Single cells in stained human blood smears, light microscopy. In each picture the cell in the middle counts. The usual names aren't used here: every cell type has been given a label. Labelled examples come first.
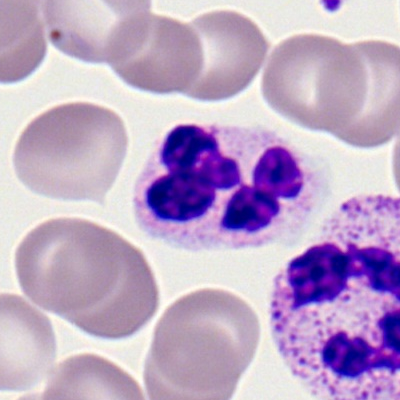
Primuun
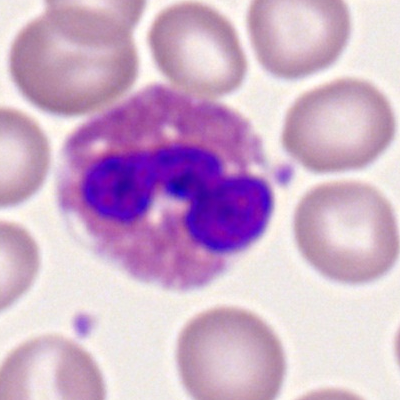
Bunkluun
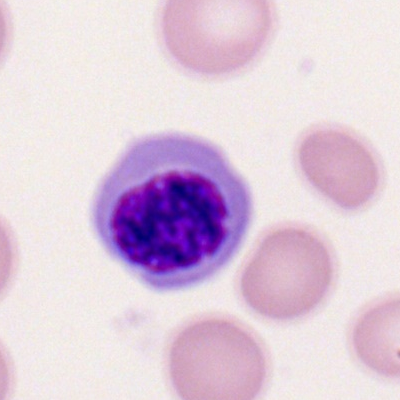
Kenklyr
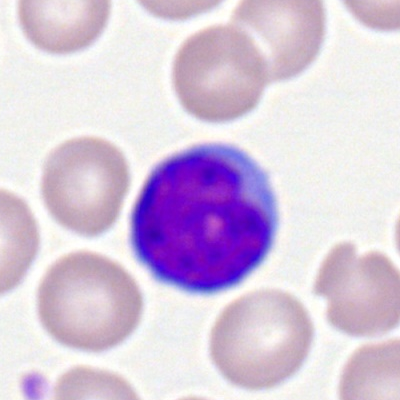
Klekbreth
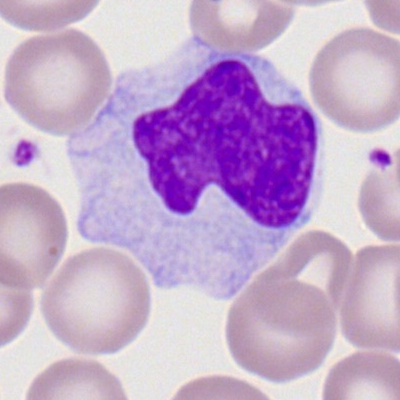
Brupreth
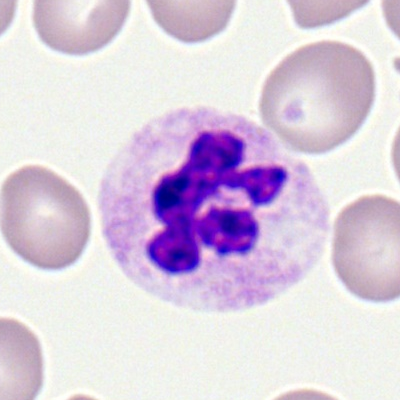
Primuun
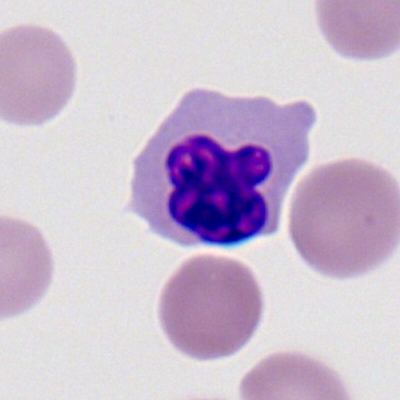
Kenklyr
